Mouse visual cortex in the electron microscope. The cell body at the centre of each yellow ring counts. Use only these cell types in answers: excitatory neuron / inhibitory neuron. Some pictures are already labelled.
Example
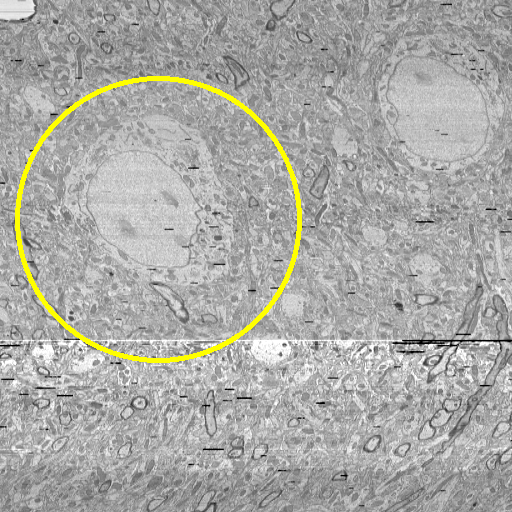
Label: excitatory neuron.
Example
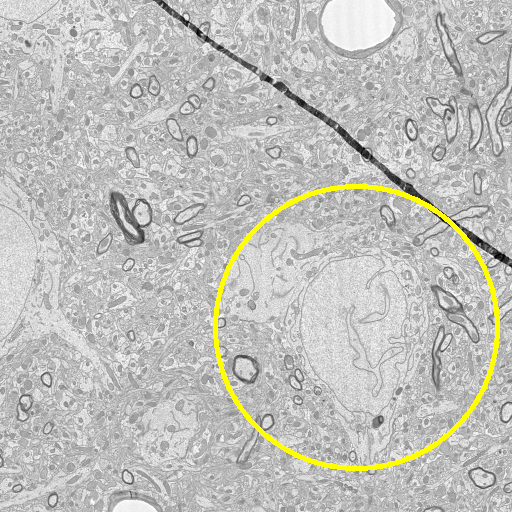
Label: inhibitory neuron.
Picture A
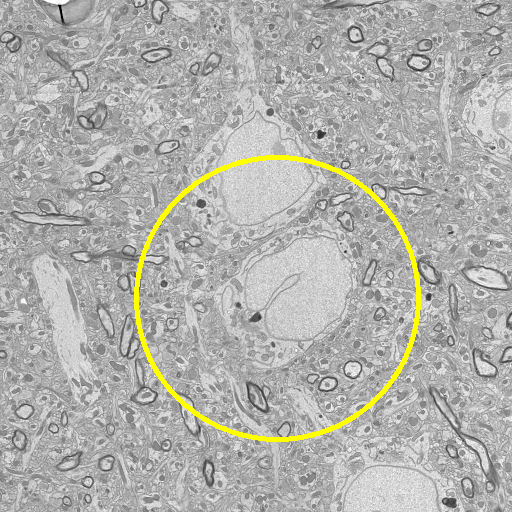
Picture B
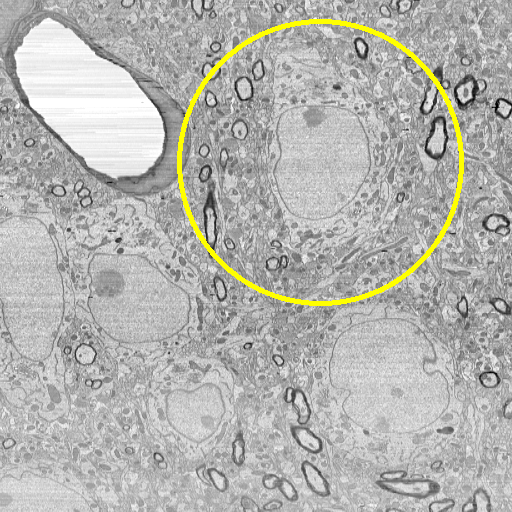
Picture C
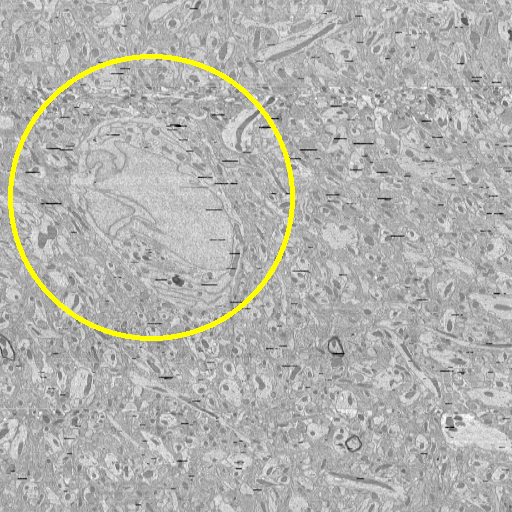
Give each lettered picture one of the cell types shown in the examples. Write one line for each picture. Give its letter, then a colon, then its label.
A: inhibitory neuron.
B: excitatory neuron.
C: inhibitory neuron.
